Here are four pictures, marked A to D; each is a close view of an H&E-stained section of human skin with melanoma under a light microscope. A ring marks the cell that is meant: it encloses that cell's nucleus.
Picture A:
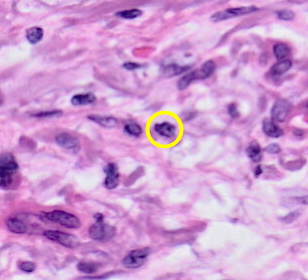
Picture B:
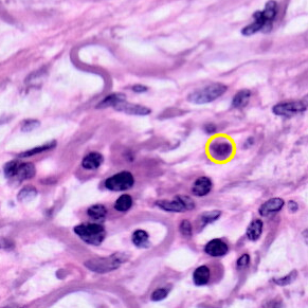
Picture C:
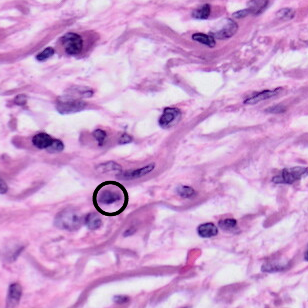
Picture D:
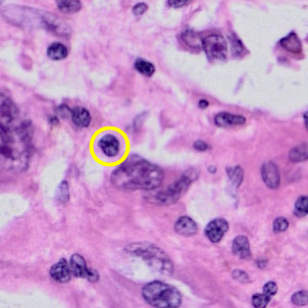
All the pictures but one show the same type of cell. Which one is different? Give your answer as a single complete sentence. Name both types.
Picture D differs, because its cell is a lymphocyte and the rest are plasma cells.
